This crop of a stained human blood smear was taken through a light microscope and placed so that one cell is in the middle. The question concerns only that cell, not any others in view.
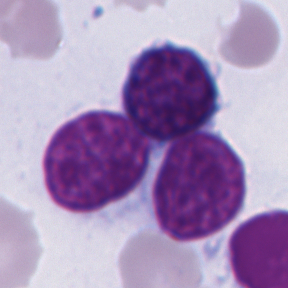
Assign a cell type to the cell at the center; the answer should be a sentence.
Classified as a myeloblast is the cell in the middle of this crop.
